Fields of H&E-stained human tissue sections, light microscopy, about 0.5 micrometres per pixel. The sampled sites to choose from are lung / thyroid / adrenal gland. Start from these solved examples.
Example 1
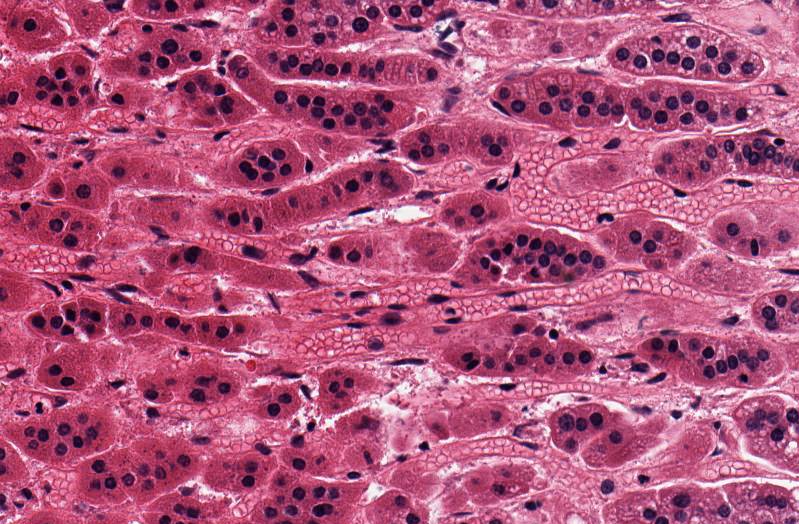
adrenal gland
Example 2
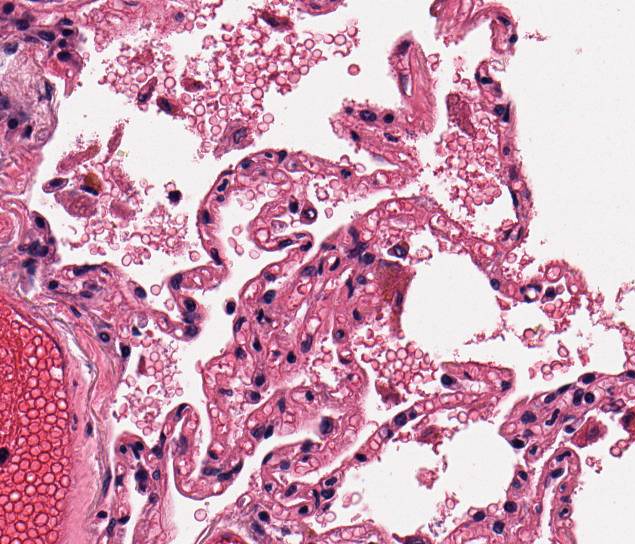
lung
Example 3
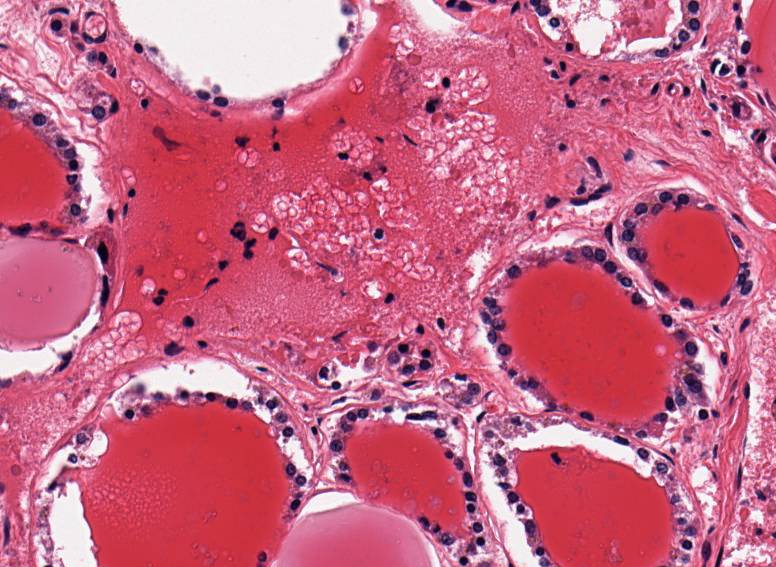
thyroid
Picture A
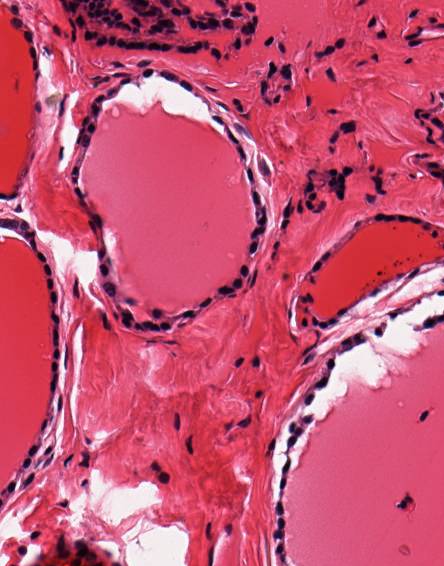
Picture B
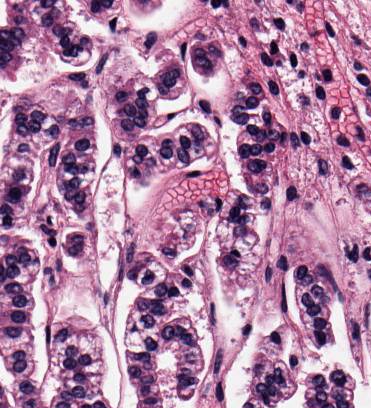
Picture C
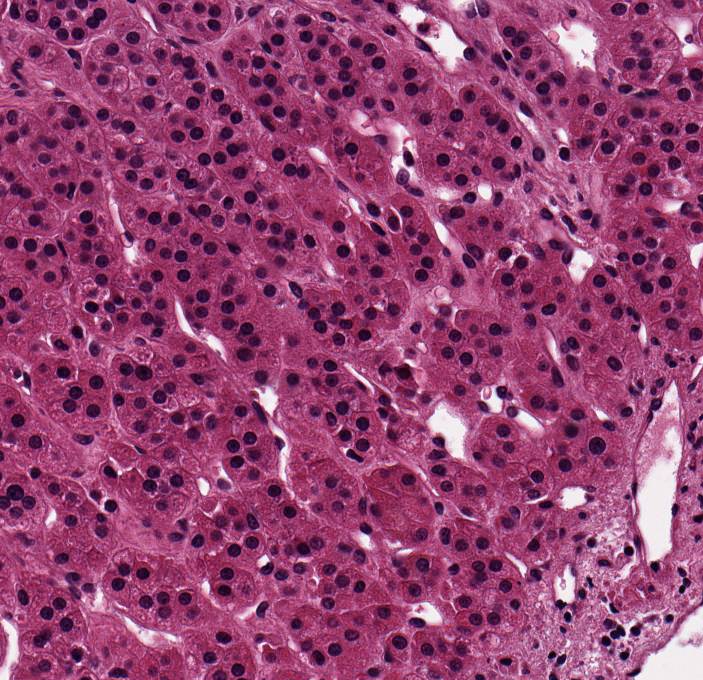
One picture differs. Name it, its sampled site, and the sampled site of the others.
Different: A, thyroid. Others: adrenal gland.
